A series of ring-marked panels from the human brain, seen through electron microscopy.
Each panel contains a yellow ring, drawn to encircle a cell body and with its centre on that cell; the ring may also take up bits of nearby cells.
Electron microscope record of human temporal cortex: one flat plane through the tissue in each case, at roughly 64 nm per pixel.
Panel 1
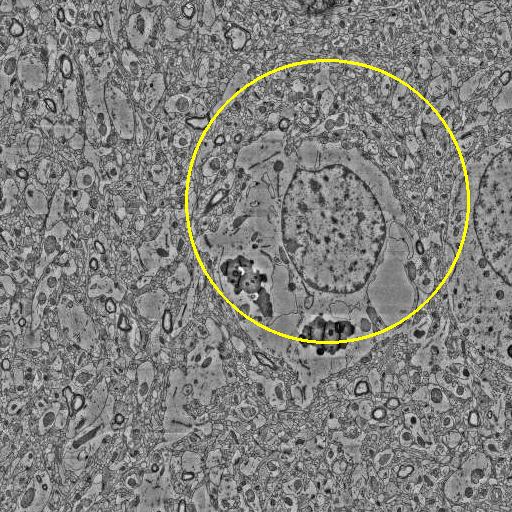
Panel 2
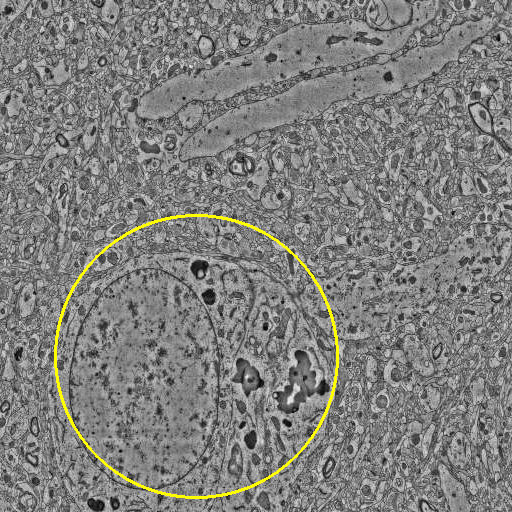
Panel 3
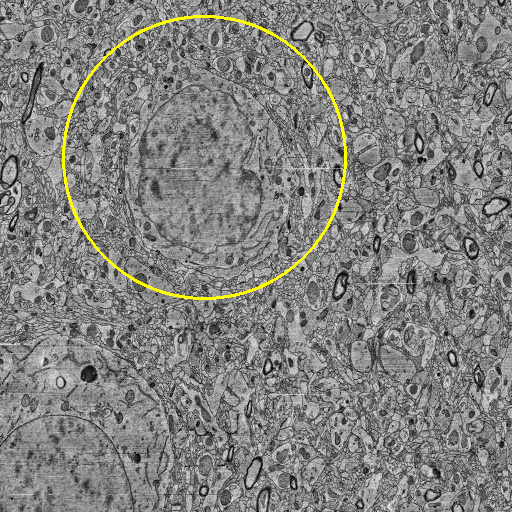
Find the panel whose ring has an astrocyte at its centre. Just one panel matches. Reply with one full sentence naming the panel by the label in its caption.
The sought cell lies at the centre of the ring shown in Panel 1.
